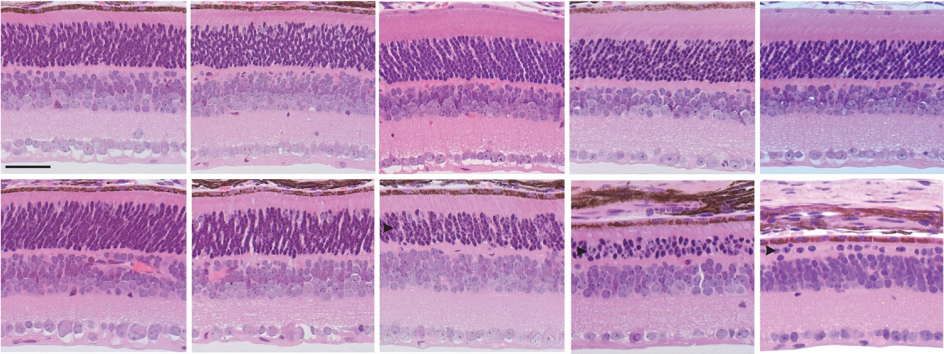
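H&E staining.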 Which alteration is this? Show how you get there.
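In the lower row the thick outermost layer of dark nuclei becomes progressively thinner from left to right. In the lower right image only about one row of outer nuclei remains beneath the pigmented band. The inner layers of nuclei keep their thickness.
Answer: near complete ablation of photoreceptors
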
